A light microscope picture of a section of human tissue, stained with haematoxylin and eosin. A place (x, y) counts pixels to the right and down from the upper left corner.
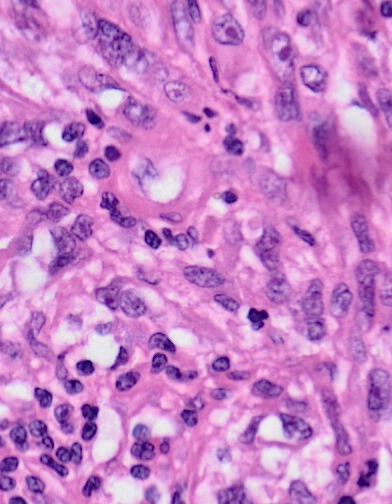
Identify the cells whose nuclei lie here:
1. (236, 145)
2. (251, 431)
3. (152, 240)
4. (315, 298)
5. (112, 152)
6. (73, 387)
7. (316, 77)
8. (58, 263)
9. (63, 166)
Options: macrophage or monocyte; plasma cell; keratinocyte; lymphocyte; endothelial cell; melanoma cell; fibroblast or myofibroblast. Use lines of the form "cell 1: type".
cell 1: lymphocyte
cell 2: melanoma cell
cell 3: lymphocyte
cell 4: melanoma cell
cell 5: lymphocyte
cell 6: lymphocyte
cell 7: melanoma cell
cell 8: melanoma cell
cell 9: lymphocyte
